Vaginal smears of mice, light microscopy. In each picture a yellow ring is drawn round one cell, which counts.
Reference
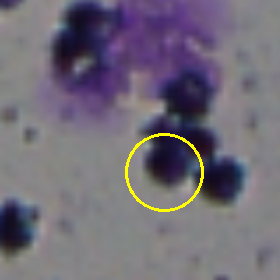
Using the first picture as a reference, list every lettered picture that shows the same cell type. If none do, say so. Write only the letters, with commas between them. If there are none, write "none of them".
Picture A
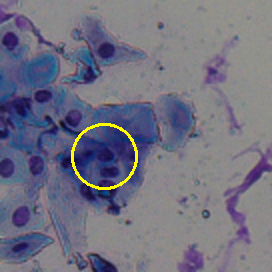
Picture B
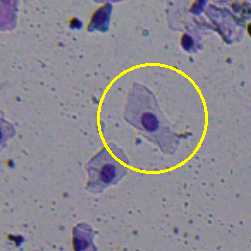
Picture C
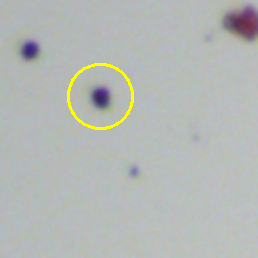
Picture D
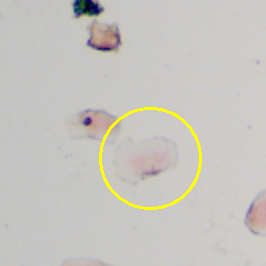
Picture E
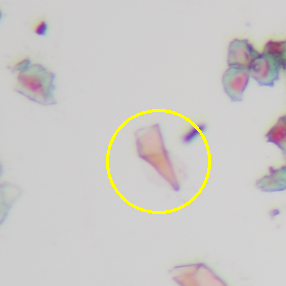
C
